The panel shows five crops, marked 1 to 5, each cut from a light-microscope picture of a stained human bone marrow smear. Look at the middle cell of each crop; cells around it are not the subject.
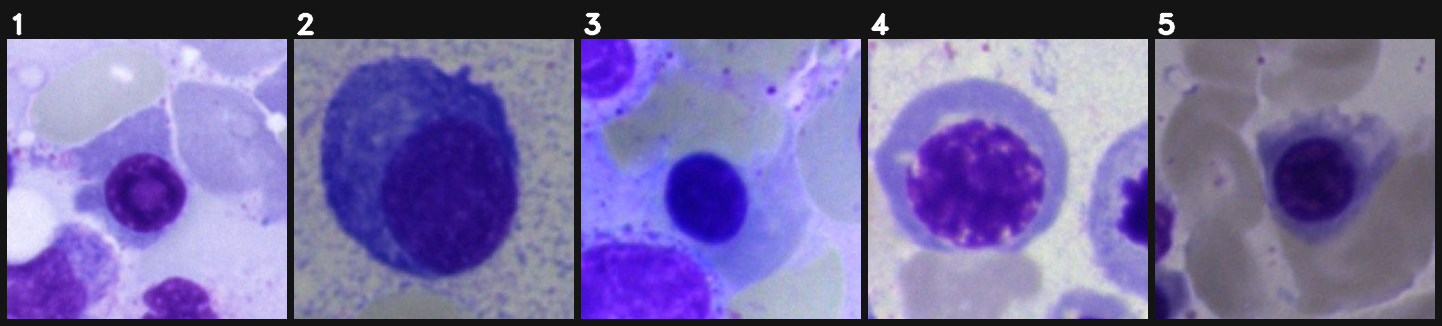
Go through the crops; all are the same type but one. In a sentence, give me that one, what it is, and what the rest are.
Crop 2 is the only one that is a plasma cell; all the others show erythroblasts.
